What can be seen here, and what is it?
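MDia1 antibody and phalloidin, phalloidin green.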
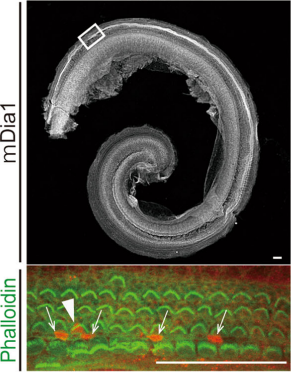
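Above, a coiled cochlea is seen at low power, with an evenly labelled band of cells running along its spiral. Below, a closer view of the organ of Corti shows three orderly rows of green V-shaped hair bundles of outer hair cells above a straight row, with only a few small red spots, marking inner pillar cells and an occasional outer hair cell.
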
